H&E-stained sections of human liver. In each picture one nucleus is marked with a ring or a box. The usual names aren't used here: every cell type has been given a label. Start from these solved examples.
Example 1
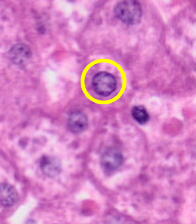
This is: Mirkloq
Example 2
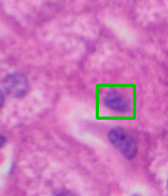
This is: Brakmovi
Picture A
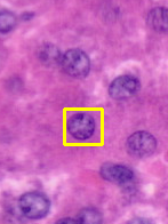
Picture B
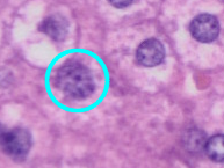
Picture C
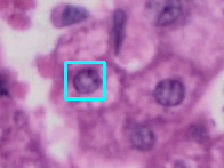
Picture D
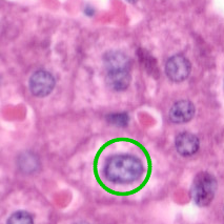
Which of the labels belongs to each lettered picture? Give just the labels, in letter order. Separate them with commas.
Mirkloq, Mirkloq, Mirkloq, Mirkloq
